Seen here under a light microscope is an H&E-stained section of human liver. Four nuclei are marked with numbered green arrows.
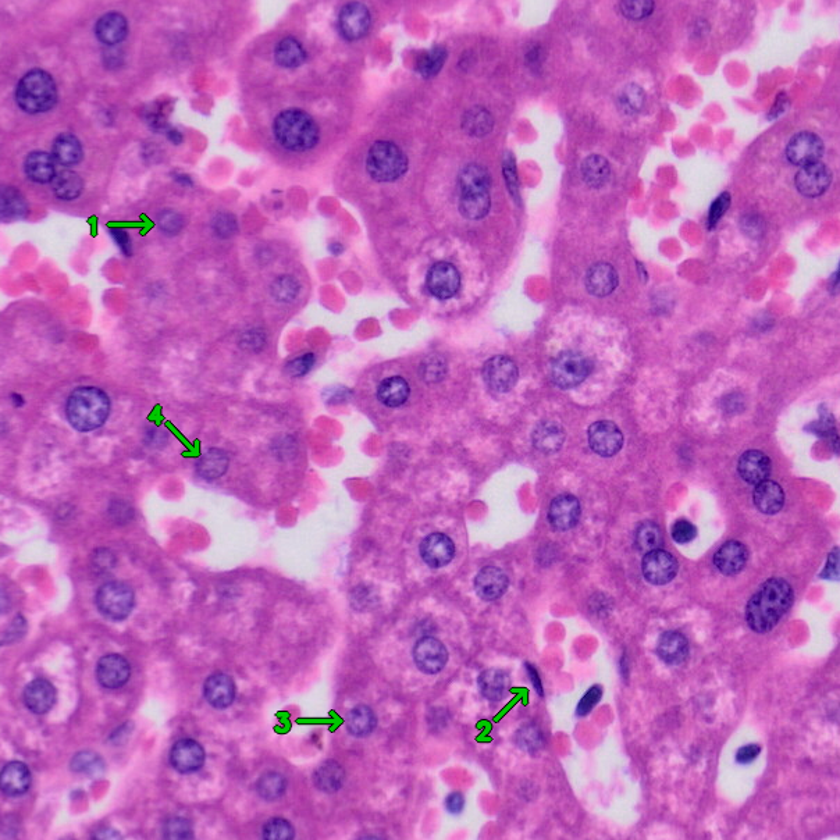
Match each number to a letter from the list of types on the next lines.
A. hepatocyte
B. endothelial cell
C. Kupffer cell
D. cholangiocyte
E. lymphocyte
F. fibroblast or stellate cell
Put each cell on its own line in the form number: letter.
1: A
2: F
3: A
4: A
